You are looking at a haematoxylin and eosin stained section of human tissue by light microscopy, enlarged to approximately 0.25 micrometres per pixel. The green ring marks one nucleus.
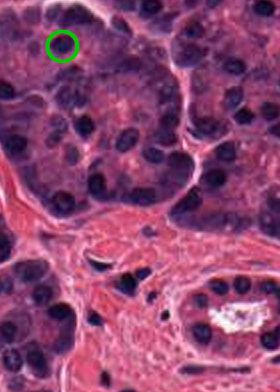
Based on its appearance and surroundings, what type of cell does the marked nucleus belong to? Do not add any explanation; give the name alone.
pancreatic acinar cell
